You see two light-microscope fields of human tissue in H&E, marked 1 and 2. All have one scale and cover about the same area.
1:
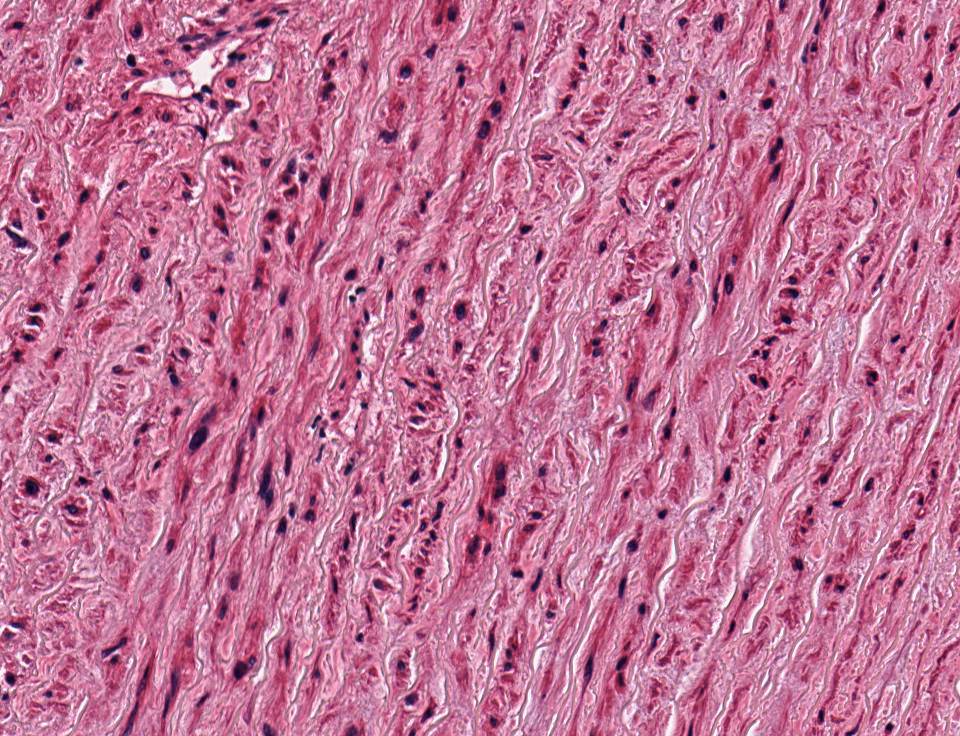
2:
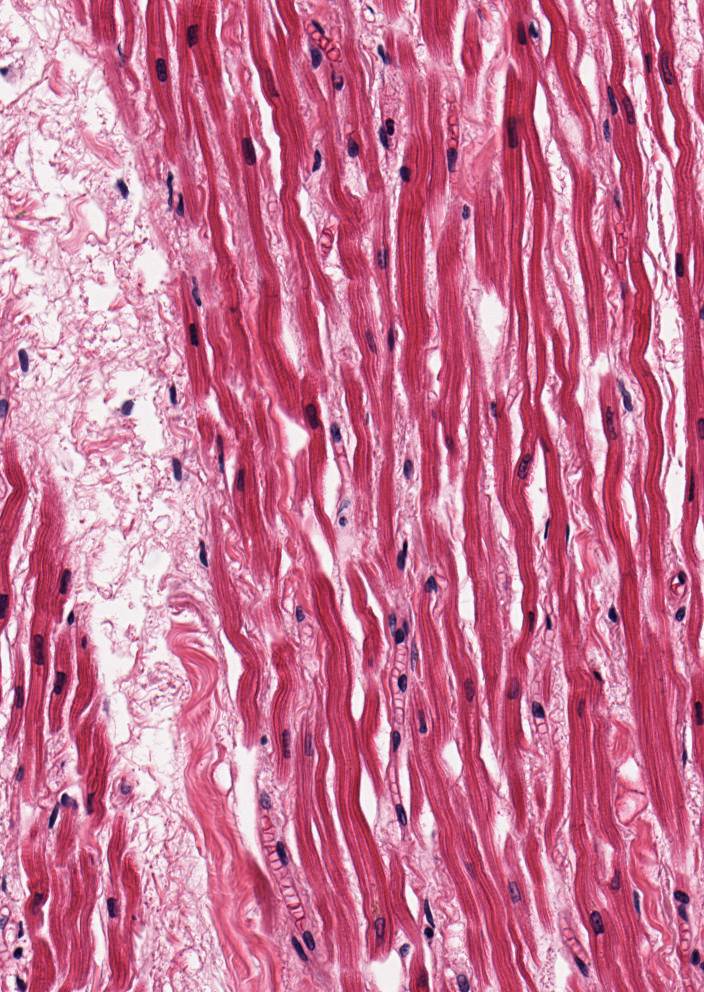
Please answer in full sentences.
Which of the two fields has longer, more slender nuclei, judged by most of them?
Longer, more slender nuclei lie in field 2.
